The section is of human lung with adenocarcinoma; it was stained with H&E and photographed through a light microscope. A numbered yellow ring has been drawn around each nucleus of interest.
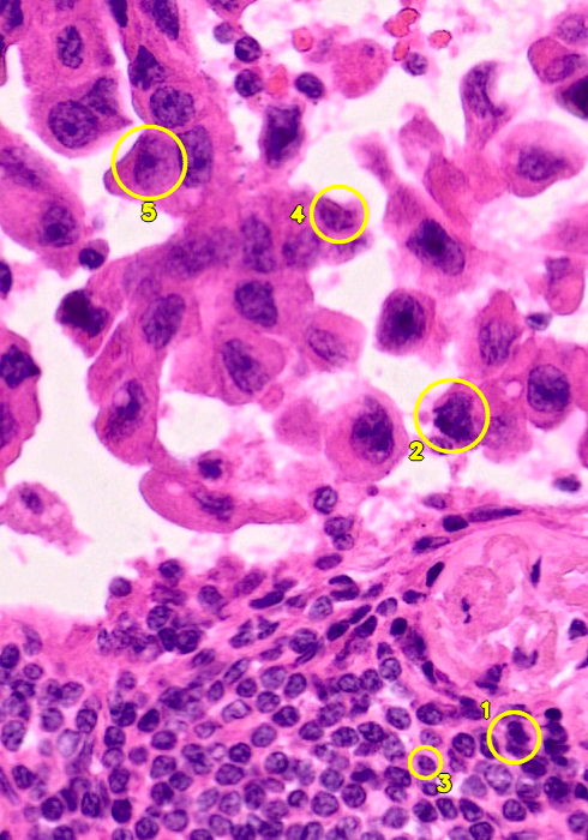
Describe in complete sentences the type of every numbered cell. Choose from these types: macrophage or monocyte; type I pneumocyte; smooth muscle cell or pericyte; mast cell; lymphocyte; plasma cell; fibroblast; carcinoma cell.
Cell 1 is a lymphocyte, cell 2 is a carcinoma cell, cell 3 is a lymphocyte, cell 4 is a carcinoma cell and cell 5 is a carcinoma cell.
